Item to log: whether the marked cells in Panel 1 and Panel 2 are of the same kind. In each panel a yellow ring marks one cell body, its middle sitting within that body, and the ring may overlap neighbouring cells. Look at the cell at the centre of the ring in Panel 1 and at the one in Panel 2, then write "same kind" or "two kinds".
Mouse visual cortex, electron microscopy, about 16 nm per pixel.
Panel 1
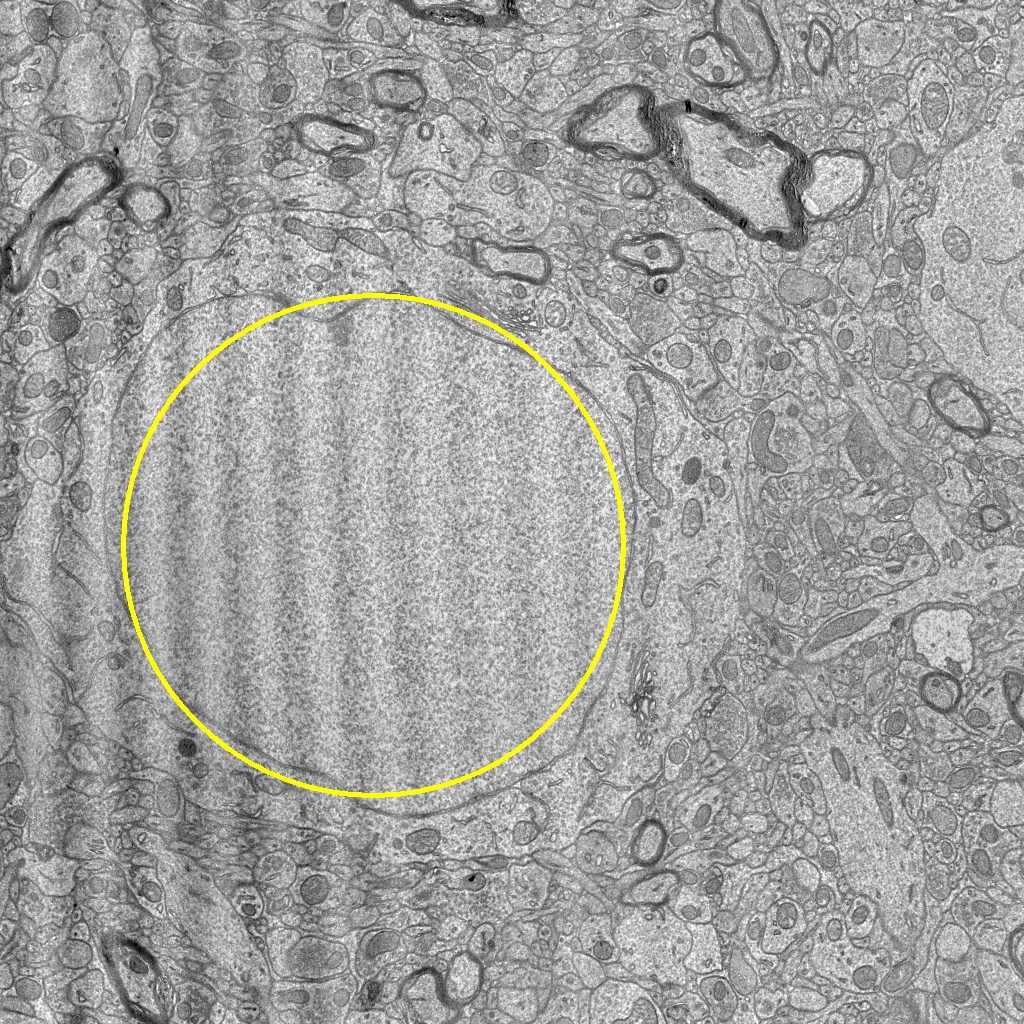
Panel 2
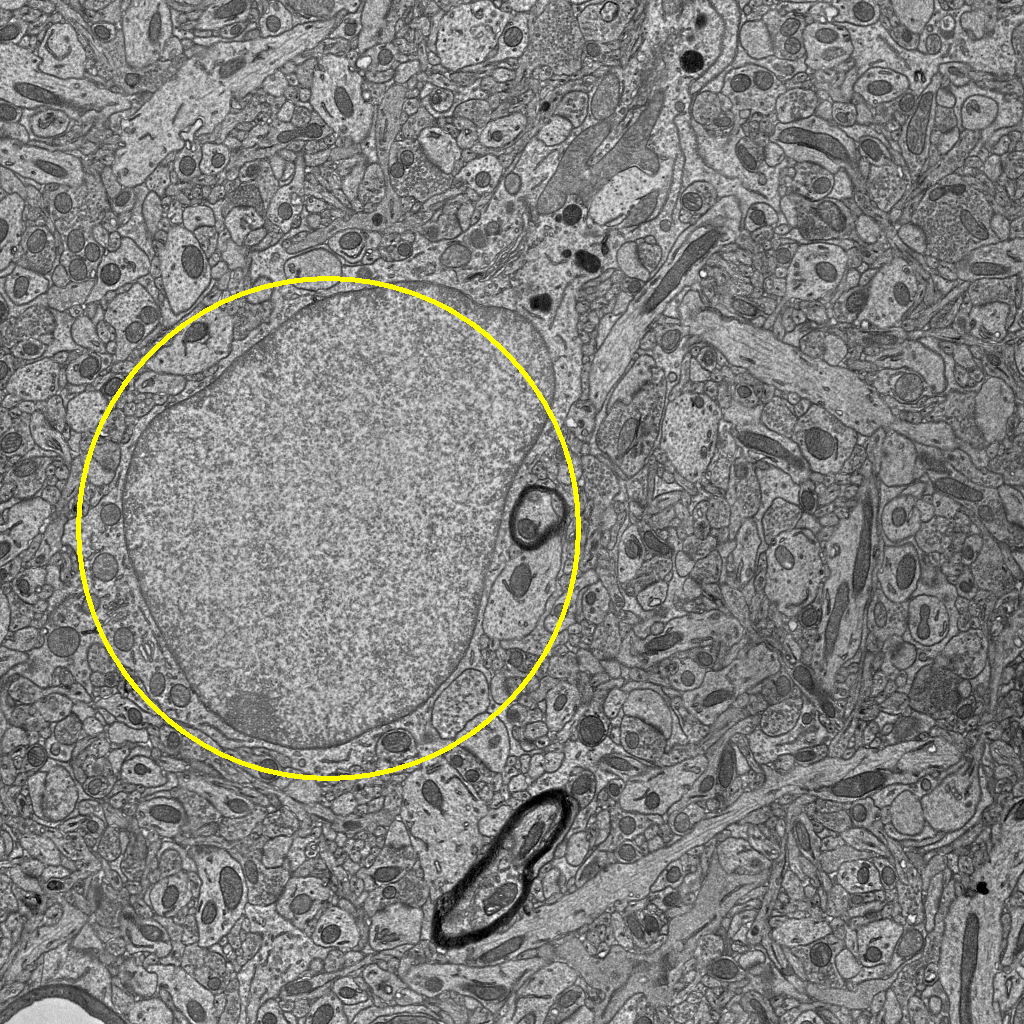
two kinds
